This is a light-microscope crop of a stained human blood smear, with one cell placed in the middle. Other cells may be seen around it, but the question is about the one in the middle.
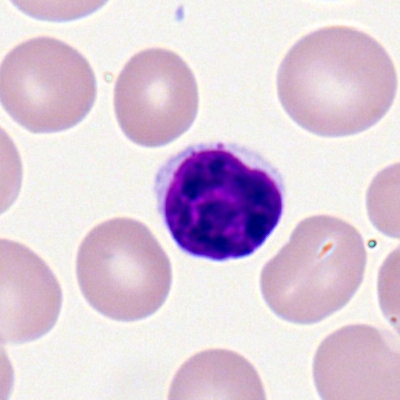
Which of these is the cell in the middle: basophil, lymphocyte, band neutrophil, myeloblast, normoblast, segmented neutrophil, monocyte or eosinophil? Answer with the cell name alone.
lymphocyte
